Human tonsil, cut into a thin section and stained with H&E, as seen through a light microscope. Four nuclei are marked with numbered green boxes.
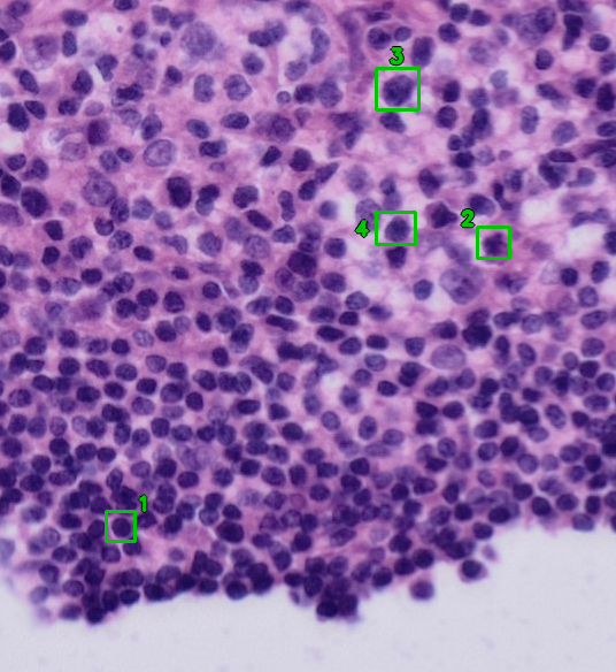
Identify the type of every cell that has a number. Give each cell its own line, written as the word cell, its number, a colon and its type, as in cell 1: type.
cell 1: small lymphocyte
cell 2: proliferating B cell
cell 3: proliferating B cell
cell 4: proliferating B cell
